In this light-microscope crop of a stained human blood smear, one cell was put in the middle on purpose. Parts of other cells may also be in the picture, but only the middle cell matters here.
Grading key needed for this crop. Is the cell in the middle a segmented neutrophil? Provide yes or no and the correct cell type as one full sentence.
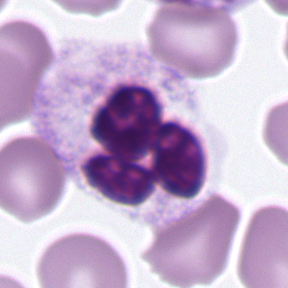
Yes, the crop's central cell is a segmented neutrophil.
